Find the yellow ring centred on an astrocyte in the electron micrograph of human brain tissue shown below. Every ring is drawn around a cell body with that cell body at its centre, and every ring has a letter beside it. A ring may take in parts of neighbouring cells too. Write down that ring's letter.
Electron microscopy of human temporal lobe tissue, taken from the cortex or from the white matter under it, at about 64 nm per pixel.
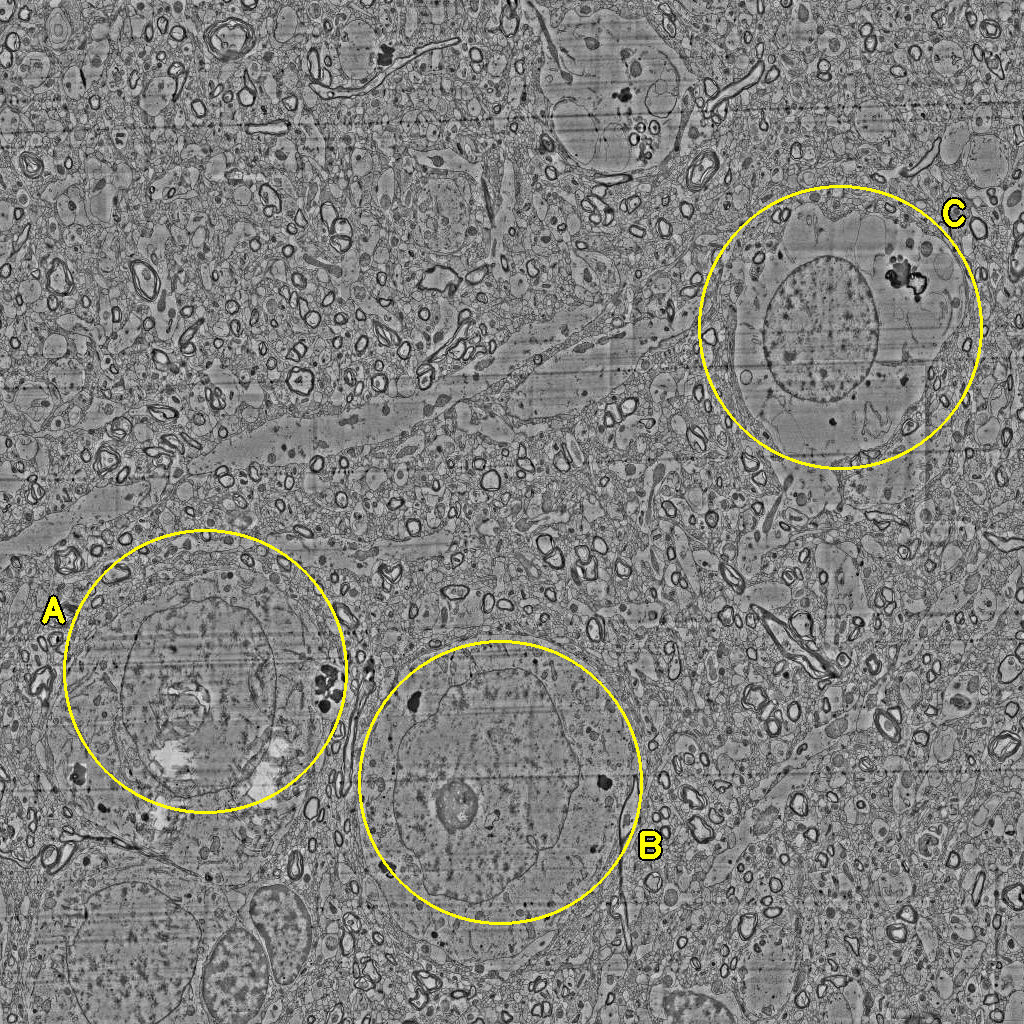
C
